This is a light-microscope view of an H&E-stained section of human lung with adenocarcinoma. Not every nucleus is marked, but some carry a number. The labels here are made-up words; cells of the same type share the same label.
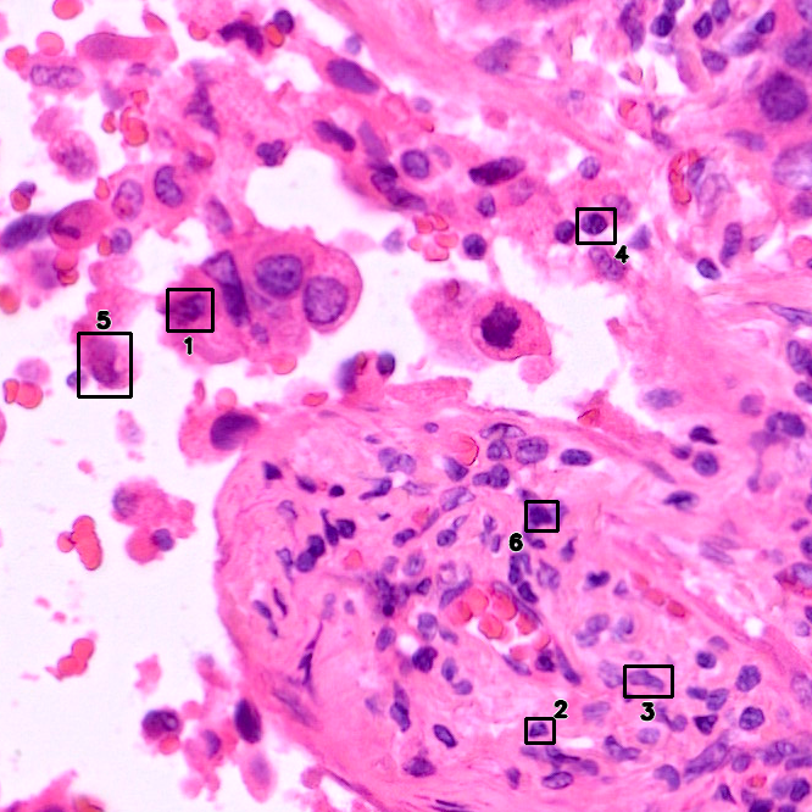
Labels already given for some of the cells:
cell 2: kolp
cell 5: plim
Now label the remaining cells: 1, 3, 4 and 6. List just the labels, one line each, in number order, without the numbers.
plim
kolp
kolp
kolp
